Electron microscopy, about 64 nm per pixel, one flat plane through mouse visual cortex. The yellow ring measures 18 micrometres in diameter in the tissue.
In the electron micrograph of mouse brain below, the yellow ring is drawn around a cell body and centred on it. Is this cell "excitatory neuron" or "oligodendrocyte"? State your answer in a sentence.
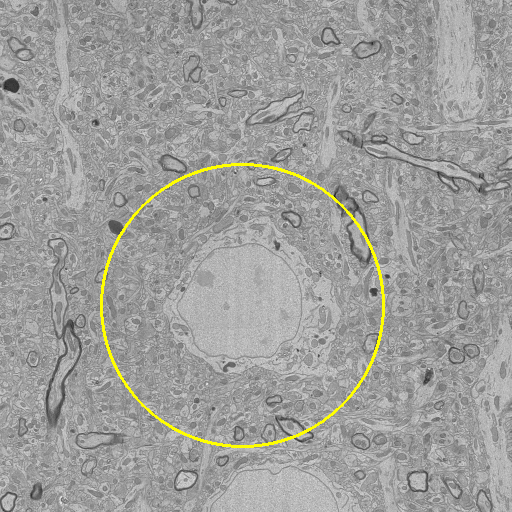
The cell in the middle of the ring is an excitatory neuron.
